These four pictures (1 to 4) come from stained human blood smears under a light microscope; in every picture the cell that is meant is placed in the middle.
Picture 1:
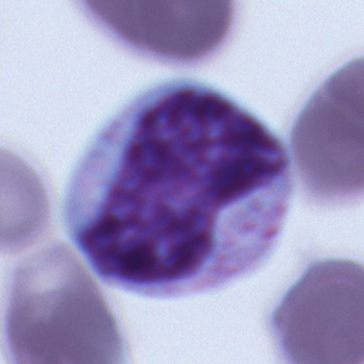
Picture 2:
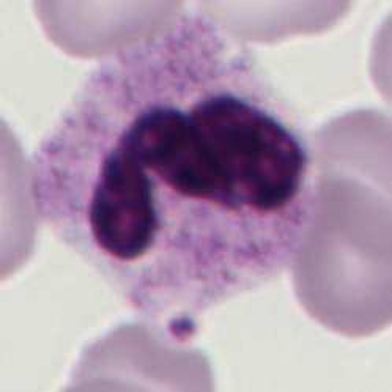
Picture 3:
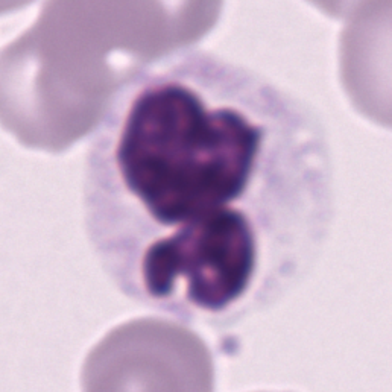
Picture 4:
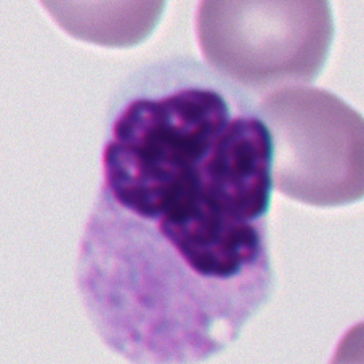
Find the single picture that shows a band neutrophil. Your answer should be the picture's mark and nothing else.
1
